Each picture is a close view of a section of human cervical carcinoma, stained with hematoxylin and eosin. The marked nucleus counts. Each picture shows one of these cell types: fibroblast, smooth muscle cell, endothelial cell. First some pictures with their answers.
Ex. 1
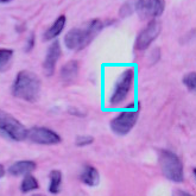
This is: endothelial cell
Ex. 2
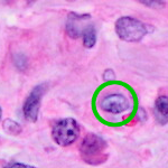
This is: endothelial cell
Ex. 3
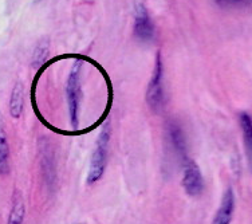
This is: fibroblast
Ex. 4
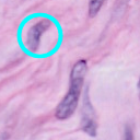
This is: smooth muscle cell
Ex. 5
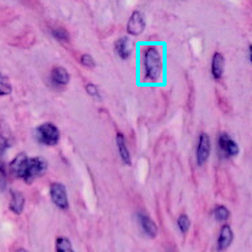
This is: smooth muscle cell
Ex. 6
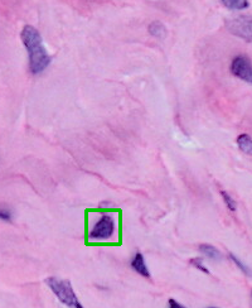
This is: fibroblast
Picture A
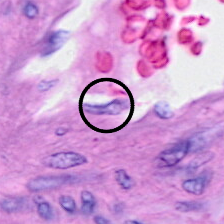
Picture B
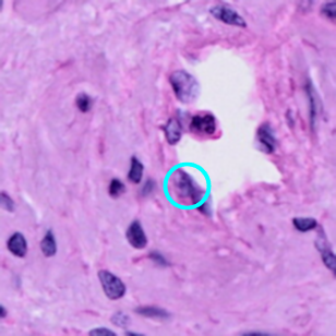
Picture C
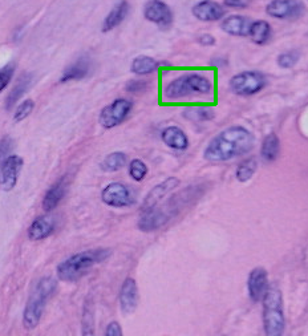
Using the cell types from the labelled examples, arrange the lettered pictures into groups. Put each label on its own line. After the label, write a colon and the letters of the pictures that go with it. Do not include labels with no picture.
smooth muscle cell: C
endothelial cell: A, B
